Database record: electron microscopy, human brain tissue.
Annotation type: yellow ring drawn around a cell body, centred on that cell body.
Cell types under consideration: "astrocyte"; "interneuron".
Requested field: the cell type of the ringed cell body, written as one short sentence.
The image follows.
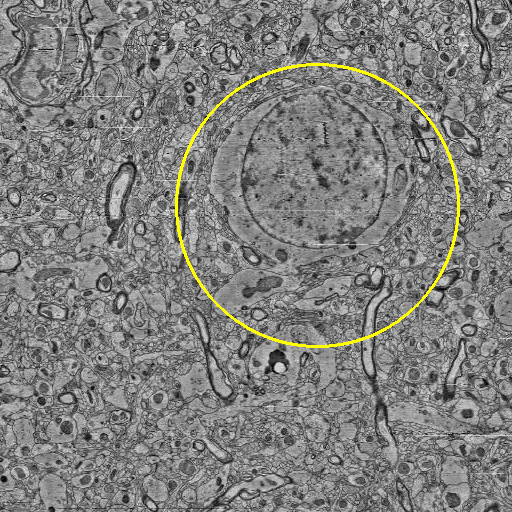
The ringed cell body represents an astrocyte.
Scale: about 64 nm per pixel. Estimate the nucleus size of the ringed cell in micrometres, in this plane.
In this plane, the nucleus of the cell at the centre of the ring is about 10 micrometres across.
